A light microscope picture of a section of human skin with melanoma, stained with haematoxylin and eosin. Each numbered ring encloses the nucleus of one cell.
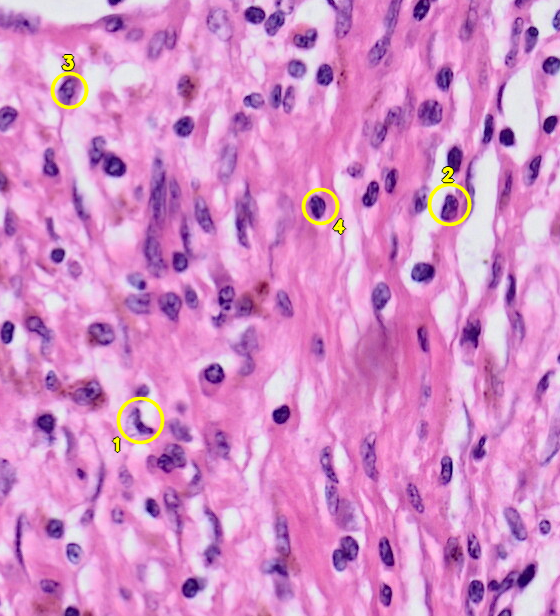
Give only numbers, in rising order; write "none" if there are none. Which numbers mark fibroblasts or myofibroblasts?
1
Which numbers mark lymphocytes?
2, 4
